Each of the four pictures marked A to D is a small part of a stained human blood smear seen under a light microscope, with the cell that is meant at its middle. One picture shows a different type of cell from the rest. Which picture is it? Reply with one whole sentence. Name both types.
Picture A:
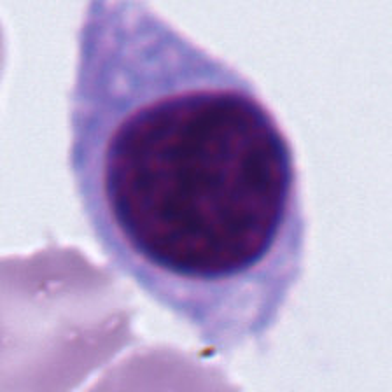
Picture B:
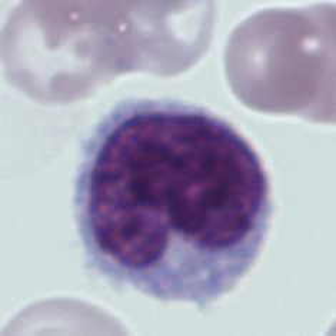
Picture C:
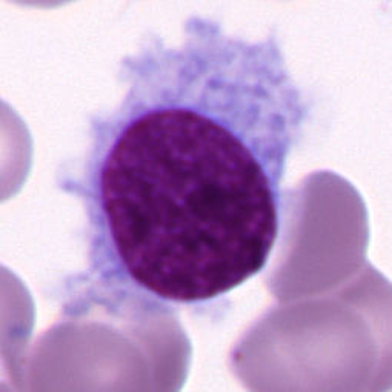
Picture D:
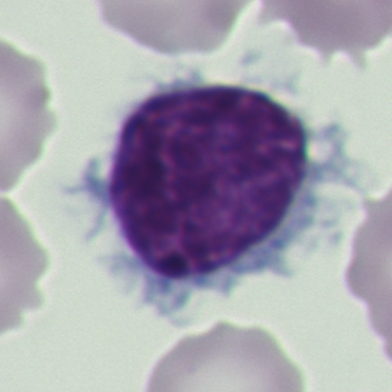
Picture B is the odd one out: it shows a monocyte, while the others show hairy cells.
